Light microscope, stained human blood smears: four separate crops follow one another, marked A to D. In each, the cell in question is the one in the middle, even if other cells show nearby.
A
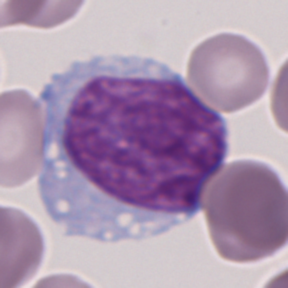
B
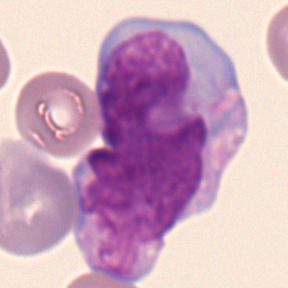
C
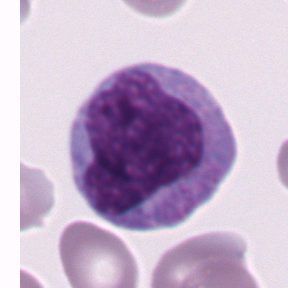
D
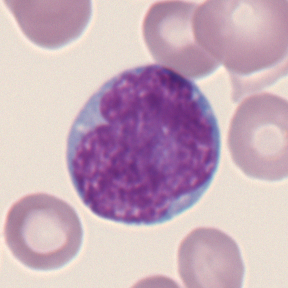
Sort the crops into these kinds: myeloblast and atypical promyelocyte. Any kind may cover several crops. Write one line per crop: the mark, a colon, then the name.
A: myeloblast
B: atypical promyelocyte
C: atypical promyelocyte
D: myeloblast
